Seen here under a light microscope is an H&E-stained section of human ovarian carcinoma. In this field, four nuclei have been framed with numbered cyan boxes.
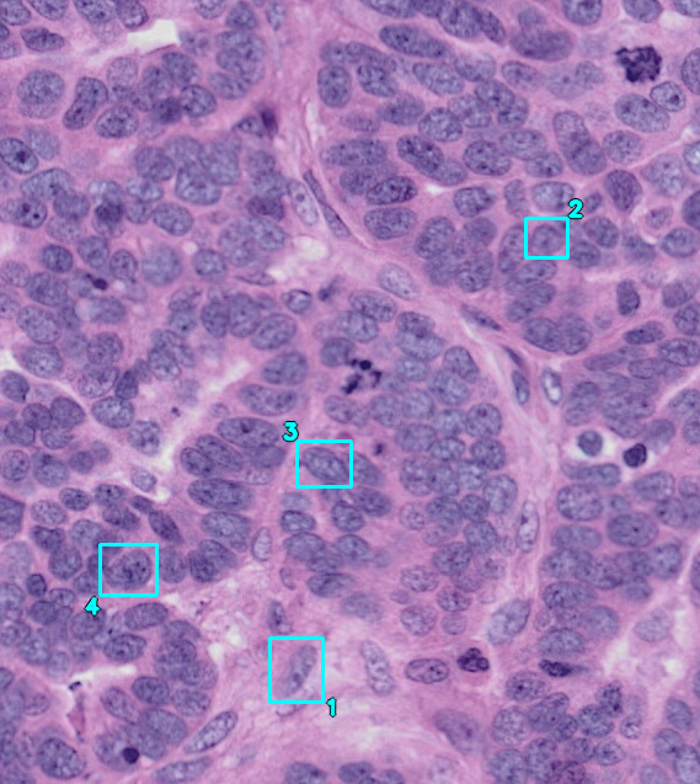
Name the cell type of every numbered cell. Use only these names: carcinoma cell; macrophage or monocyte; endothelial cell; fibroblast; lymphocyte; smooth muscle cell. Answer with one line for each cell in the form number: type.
1: fibroblast
2: carcinoma cell
3: carcinoma cell
4: carcinoma cell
